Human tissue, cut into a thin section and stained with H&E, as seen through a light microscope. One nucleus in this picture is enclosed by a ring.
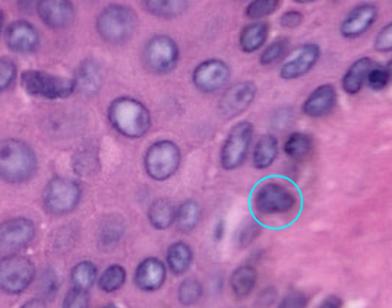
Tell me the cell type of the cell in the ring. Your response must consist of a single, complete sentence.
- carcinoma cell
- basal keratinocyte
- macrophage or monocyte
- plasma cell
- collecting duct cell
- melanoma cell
So far as cell type goes, the cell in the ring is a basal keratinocyte.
